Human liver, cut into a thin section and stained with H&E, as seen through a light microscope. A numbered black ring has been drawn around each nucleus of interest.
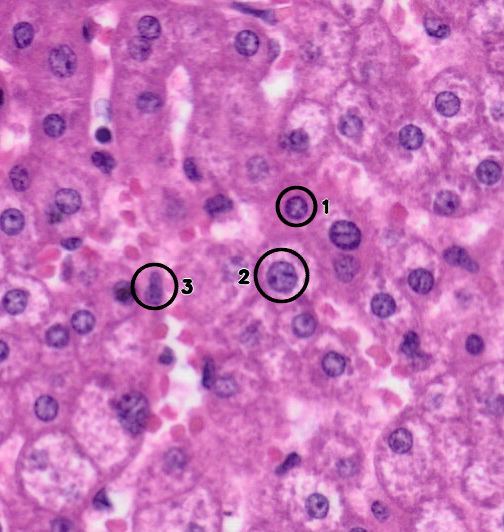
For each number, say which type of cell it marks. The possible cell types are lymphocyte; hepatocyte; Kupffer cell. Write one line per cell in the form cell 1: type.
cell 1: hepatocyte
cell 2: hepatocyte
cell 3: Kupffer cell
